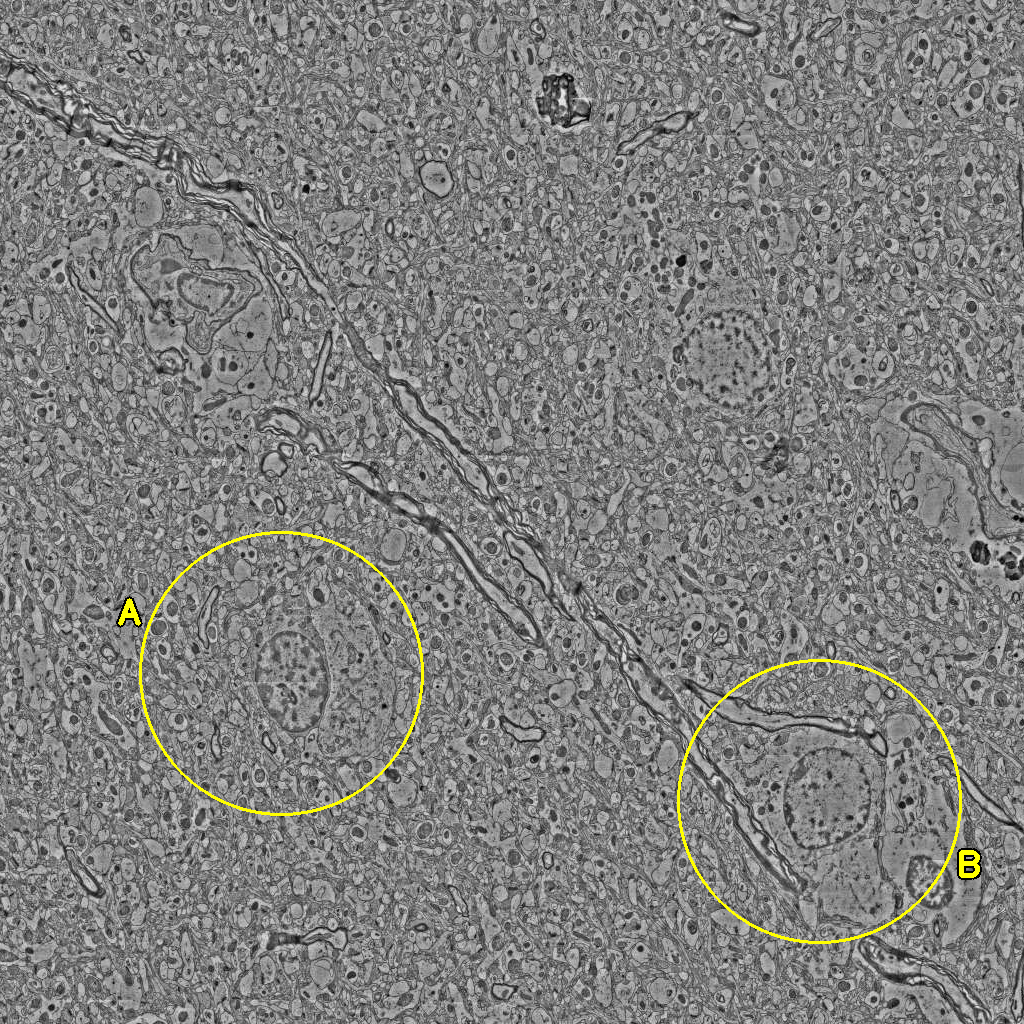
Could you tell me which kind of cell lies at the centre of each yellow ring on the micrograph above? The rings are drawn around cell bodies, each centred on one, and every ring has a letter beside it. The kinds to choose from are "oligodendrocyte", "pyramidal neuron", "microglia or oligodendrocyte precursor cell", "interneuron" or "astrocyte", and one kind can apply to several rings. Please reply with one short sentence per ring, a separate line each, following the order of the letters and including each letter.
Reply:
Ring A circles an oligodendrocyte.
Ring B circles an astrocyte.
